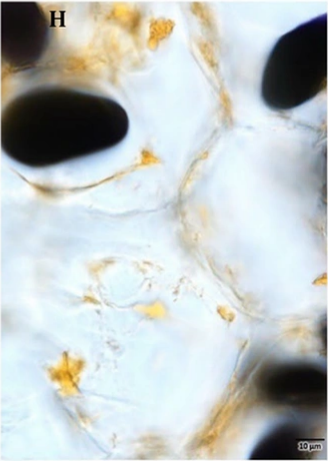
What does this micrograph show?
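The cell walls are thin and faint, outlining large, clear cells. Big ovoid starch grains, stained almost black, lie inside the cells. Small irregular yellow-orange granules and clumps are scattered along the cell walls and gather in the corners where cells meet. Apart from these inclusions, the cell interior is pale and nearly empty. There are no thick-walled or conducting elements in view.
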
